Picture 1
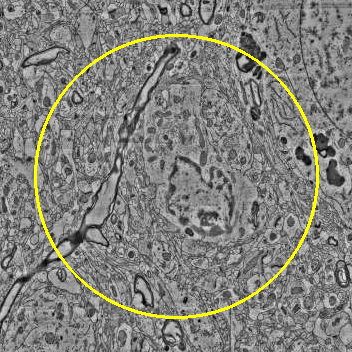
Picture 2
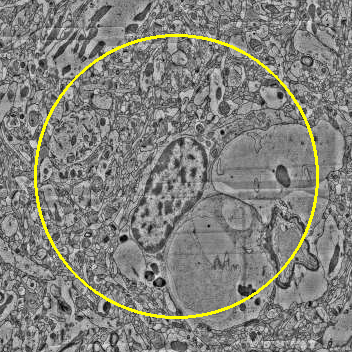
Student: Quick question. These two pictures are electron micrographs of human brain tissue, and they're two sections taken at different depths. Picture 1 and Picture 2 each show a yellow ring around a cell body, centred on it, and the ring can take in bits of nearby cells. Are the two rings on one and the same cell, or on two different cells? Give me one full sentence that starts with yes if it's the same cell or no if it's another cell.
No, the two rings mark two different cells.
